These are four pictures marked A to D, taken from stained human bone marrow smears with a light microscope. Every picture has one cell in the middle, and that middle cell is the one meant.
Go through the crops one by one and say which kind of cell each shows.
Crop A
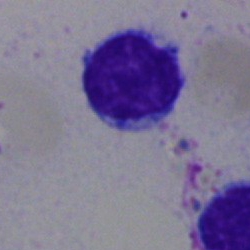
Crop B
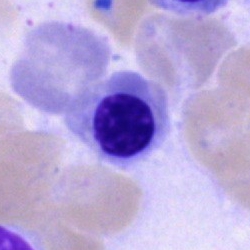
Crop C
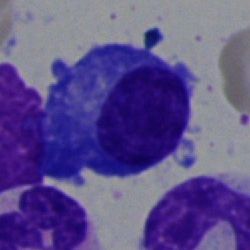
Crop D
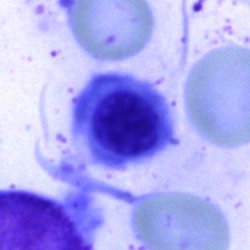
A: lymphocyte
B: erythroblast
C: plasma cell
D: erythroblast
